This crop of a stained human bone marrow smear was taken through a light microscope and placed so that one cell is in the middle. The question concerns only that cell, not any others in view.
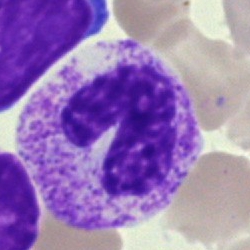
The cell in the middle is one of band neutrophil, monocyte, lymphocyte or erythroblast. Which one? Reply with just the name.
band neutrophil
